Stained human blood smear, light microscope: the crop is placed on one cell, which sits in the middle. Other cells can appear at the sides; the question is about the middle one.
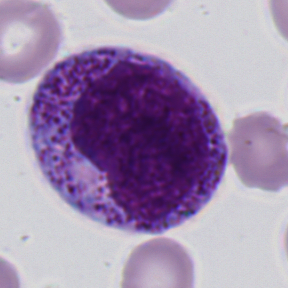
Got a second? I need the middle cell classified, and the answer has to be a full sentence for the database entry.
Whatever else lies nearby, the middle cell is a promyelocyte.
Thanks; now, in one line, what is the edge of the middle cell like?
Smooth all around, the outline has no projections to report.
